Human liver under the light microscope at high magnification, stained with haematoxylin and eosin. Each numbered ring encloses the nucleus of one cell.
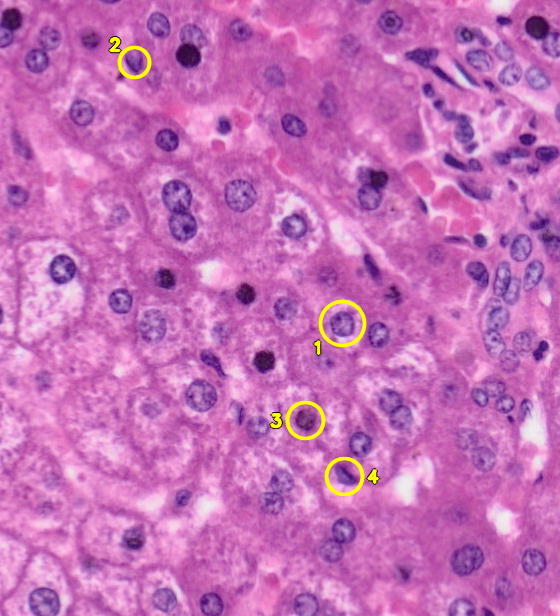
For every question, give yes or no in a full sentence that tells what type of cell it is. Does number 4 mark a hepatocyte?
No, cell 4 is not a hepatocyte. It is an endothelial cell.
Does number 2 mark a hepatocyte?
No, cell 2 is a fibroblast or stellate cell; it is not a hepatocyte.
